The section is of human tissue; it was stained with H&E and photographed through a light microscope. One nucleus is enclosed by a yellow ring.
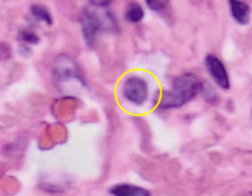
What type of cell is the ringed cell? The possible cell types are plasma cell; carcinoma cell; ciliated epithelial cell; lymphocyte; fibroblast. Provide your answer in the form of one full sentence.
Speaking plainly, the ringed cell is nothing other than a lymphocyte.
